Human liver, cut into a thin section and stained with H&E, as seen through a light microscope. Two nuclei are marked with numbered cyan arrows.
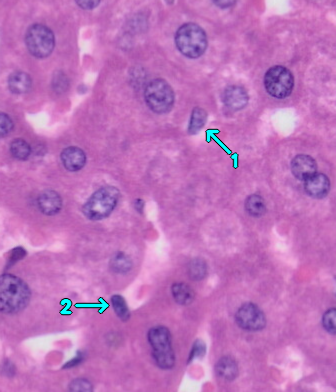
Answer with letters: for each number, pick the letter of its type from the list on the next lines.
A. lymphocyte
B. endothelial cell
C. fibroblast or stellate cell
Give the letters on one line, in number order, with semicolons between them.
B; C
